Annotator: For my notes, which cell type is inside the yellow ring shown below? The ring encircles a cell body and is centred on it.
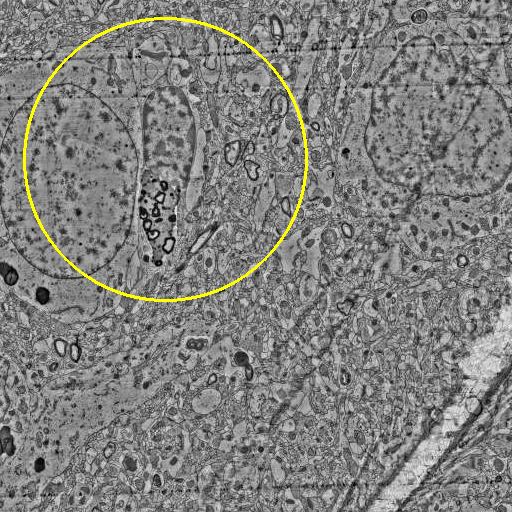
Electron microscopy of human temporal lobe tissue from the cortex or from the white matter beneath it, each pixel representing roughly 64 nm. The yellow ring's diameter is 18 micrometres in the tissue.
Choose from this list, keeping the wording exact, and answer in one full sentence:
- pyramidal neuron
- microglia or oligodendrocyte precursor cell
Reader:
At the centre of the yellow ring there is a microglial cell or oligodendrocyte precursor cell, as shown in the picture.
